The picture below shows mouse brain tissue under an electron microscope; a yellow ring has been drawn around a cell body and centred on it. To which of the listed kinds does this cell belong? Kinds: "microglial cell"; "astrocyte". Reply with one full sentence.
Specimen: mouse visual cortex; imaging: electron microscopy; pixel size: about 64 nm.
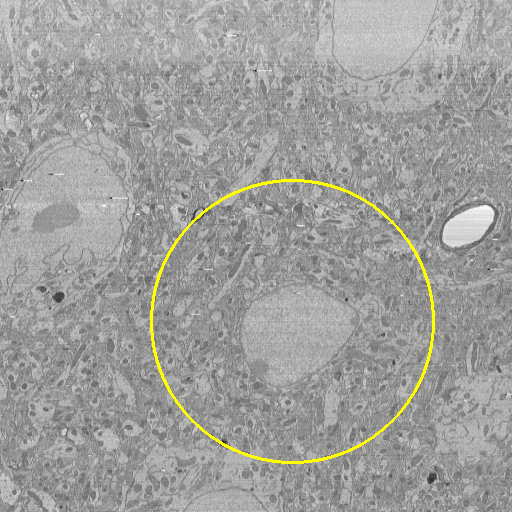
It is an astrocyte that the yellow ring in the picture is centred on.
